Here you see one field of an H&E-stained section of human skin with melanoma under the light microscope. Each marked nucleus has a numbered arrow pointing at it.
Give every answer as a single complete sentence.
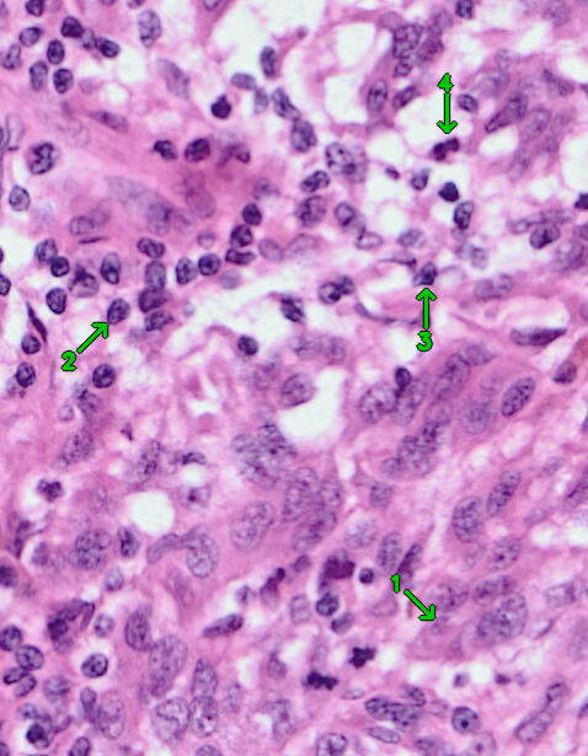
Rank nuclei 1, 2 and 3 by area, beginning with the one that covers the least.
From smallest to largest, the order is 1, 3, 2.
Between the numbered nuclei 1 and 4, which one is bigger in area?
Nucleus 4 is the larger one, covering about 2 times the area of nucleus 1.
